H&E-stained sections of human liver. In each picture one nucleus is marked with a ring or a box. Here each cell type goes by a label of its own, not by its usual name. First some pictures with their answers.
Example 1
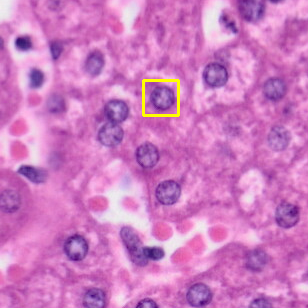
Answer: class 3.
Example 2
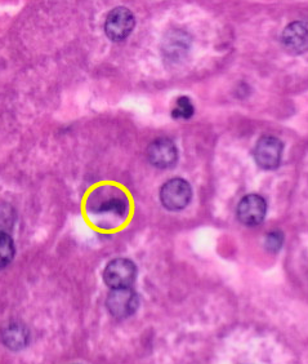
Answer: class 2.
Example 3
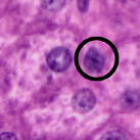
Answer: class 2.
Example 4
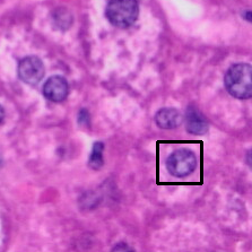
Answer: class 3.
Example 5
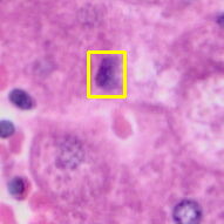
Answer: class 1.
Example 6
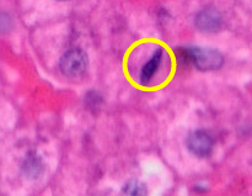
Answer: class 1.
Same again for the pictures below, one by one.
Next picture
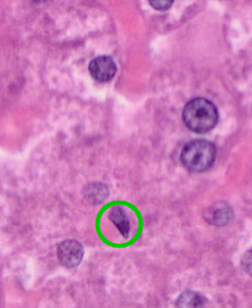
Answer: class 2.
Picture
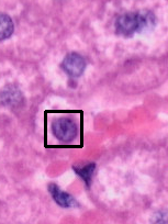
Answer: class 3.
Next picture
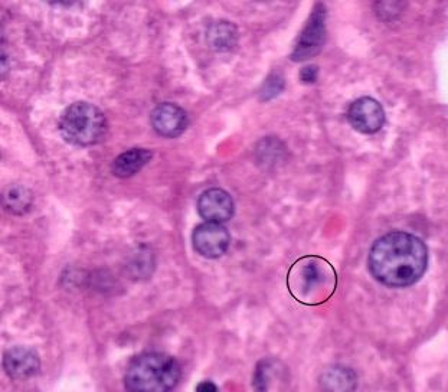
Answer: class 2.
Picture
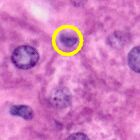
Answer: class 2.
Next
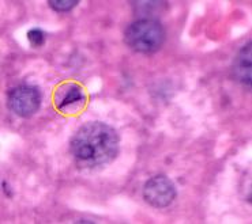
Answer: class 1.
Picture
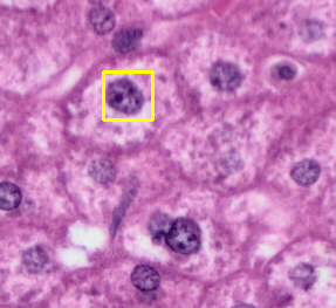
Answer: class 3.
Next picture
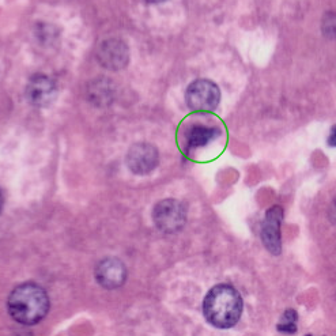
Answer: class 1.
